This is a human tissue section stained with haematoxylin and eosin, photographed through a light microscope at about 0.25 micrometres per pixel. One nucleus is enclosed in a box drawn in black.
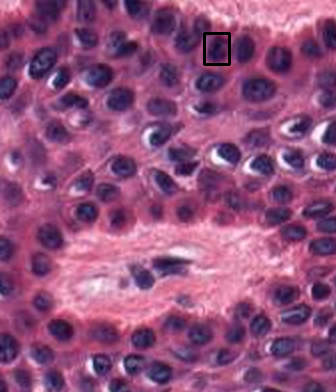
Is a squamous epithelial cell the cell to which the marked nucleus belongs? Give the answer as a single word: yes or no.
yes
